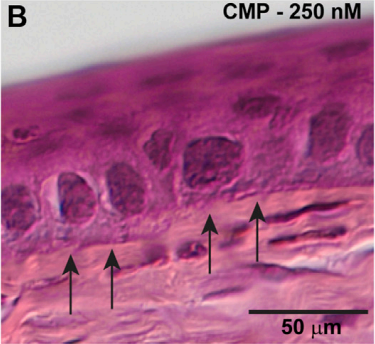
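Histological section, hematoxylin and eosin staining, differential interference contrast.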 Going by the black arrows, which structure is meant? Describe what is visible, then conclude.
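The arrows point at the boundary of the fibrous layer directly under the row of basal epithelial cells. Flattened, elongated nuclei lie in the fibrous tissue below the arrows. That points to this answer: anterior stromal surface.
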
